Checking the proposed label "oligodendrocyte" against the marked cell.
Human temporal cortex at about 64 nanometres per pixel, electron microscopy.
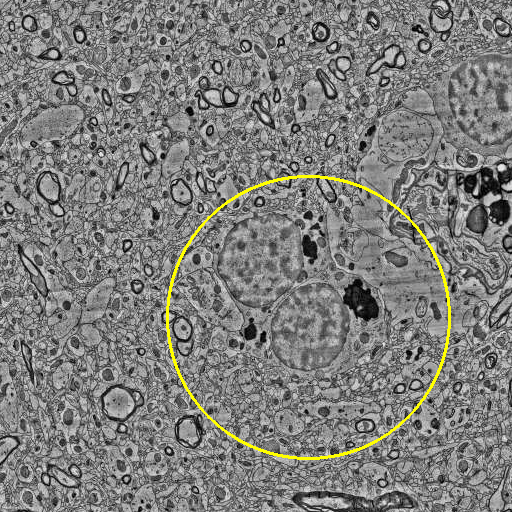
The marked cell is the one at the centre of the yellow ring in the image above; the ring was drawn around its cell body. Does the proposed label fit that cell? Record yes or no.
yes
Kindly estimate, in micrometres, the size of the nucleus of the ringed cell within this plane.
In this plane, about 6 micrometres in length and 5 in width.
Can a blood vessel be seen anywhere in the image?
Yes.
